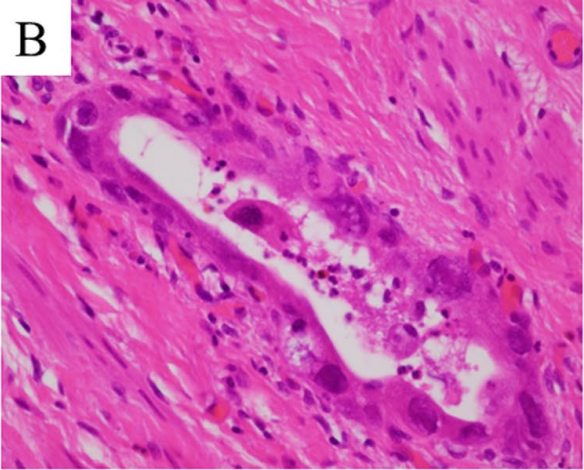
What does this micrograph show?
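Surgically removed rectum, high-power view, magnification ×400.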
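Cancer cells in the fibrotic rectal wall form a single elongated, gland-like space set in pink, fibrous stroma with scattered spindle-shaped nuclei. The cells lining this space are large, with abundant pink to purplish cytoplasm and strikingly enlarged, dark, irregular nuclei that vary much in size and shape from cell to cell. The lumen is open and contains loose pale debris with small fragments and a few small dark cells. Around the gland the stroma is made of wavy pink fibres with a few red blood cells, without an organised epithelial layer nearby.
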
